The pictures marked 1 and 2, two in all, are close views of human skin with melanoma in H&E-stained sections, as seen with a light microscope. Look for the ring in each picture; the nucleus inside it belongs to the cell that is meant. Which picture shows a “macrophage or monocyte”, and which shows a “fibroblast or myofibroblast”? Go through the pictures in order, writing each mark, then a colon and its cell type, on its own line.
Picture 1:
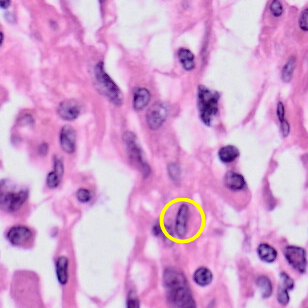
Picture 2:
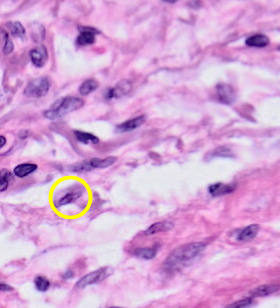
1: macrophage or monocyte
2: fibroblast or myofibroblast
